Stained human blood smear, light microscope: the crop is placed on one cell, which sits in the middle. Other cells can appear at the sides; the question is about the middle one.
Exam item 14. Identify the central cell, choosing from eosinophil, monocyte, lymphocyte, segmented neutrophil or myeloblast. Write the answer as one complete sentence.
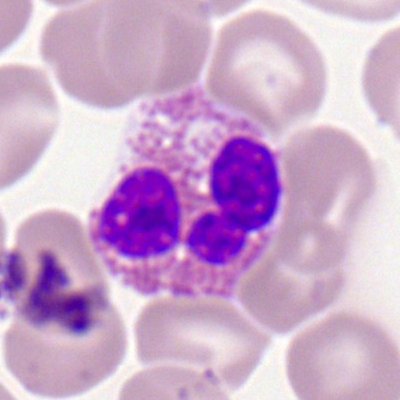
As for the cell in the middle, it is an eosinophil.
